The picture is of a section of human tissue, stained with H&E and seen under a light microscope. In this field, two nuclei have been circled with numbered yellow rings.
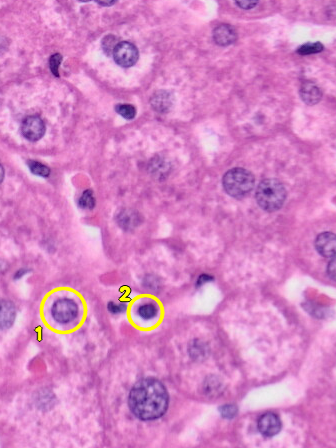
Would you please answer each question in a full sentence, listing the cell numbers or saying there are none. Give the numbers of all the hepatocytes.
In short, cell 1 is a hepatocyte; the others are not.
